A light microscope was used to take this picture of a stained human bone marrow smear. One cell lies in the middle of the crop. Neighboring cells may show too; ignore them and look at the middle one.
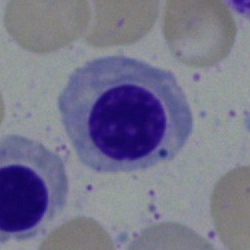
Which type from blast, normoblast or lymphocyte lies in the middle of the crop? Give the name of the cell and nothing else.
normoblast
